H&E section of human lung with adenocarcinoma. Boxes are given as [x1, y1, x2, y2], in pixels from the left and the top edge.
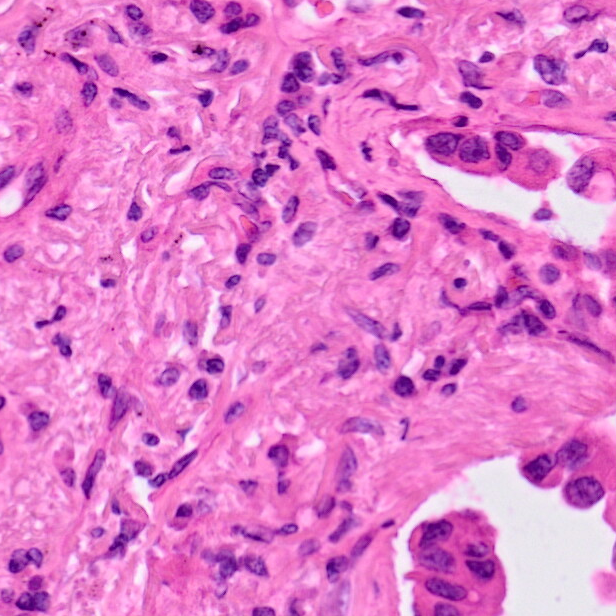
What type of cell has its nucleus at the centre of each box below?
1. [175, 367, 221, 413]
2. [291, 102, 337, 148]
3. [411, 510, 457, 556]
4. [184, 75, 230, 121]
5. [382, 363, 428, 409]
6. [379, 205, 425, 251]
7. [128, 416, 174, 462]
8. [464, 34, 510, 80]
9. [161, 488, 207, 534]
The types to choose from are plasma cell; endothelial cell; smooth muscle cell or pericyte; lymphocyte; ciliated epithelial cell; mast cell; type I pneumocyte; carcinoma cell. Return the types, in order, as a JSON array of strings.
["lymphocyte", "lymphocyte", "carcinoma cell", "lymphocyte", "plasma cell", "plasma cell", "lymphocyte", "lymphocyte", "plasma cell"]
